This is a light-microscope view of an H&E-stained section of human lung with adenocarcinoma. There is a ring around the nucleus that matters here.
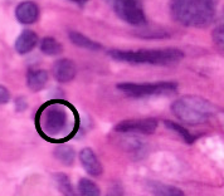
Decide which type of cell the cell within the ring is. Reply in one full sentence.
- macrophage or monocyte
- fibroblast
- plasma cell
The cell within the ring is a plasma cell.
